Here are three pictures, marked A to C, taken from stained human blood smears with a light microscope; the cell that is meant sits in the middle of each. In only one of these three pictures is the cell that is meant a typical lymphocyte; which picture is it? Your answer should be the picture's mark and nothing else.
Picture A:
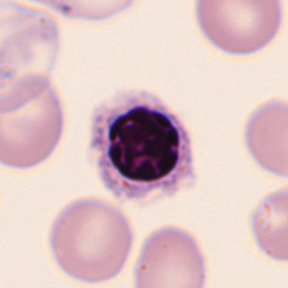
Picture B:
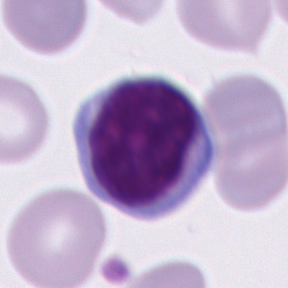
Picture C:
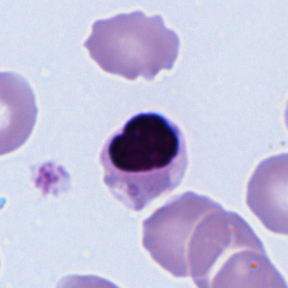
B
